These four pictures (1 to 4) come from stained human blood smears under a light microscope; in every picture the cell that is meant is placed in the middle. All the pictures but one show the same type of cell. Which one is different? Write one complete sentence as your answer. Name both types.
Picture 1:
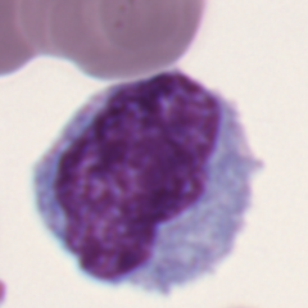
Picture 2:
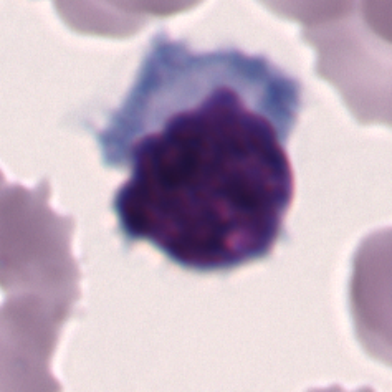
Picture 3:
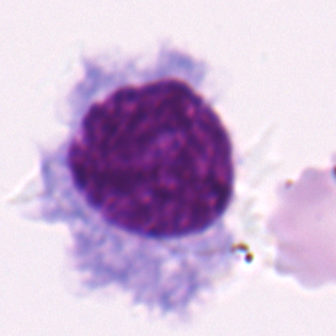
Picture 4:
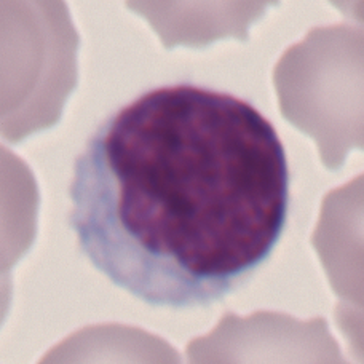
Unlike the rest, which show hairy cells, picture 1 shows a monocyte.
